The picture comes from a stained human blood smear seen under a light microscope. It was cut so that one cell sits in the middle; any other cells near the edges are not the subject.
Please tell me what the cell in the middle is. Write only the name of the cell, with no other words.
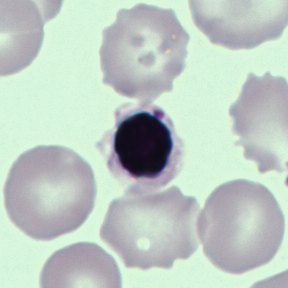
normoblast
